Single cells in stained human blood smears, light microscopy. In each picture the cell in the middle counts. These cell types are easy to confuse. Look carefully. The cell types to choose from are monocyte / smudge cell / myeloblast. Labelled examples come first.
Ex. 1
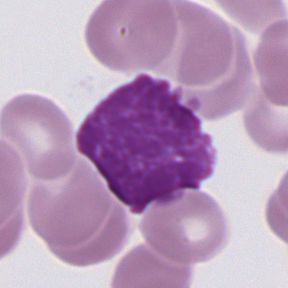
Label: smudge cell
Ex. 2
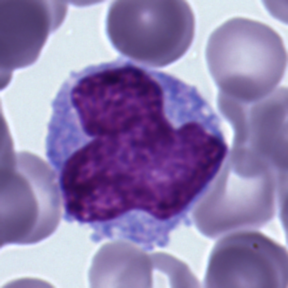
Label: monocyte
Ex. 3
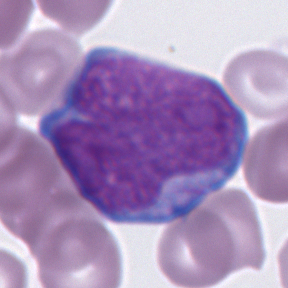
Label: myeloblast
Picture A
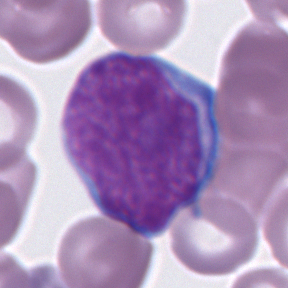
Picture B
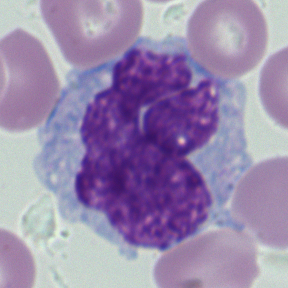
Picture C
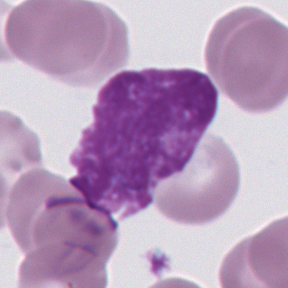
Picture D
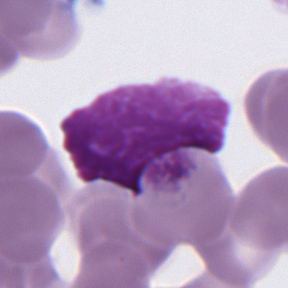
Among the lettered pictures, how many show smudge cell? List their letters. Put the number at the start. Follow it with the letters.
Count: 2 (C, D)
